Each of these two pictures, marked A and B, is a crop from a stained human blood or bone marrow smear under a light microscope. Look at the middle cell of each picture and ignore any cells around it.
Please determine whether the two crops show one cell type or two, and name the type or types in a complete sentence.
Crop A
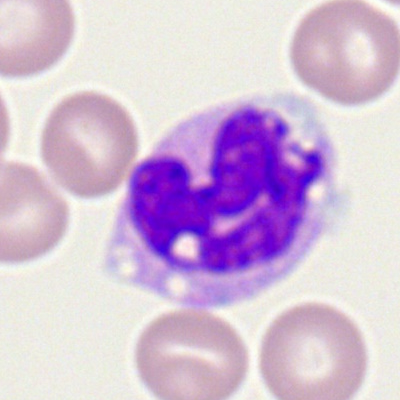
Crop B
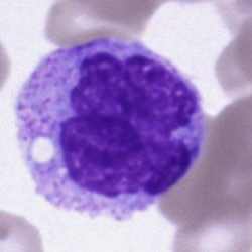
Yes, put down monocytes for both crops.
